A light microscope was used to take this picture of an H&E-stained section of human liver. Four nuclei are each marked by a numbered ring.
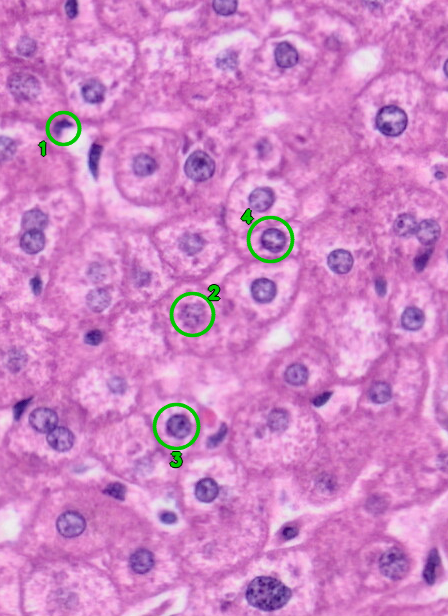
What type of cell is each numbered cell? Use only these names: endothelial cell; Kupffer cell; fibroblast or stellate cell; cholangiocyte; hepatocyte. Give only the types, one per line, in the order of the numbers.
endothelial cell
hepatocyte
hepatocyte
hepatocyte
